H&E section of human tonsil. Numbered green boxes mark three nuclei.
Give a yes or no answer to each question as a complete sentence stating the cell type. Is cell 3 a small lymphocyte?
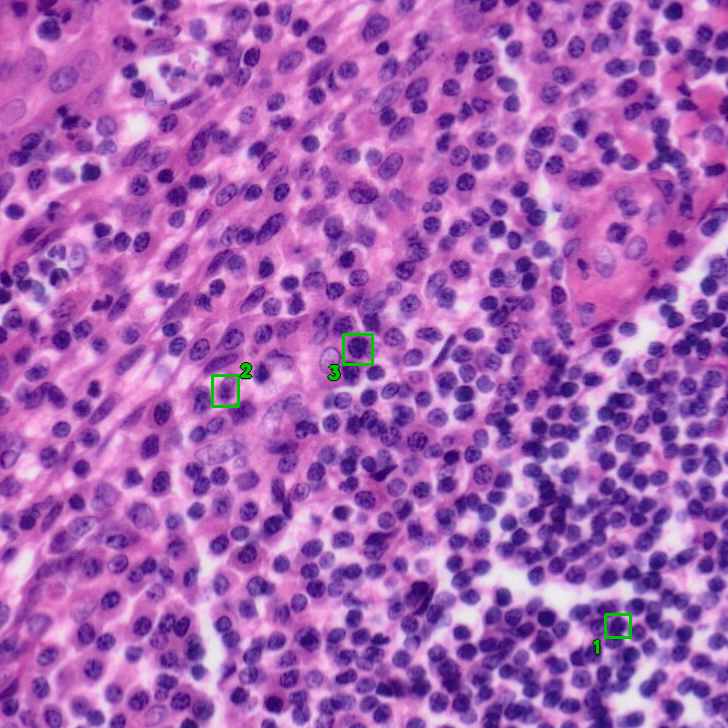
No, it is not a small lymphocyte that bears number 3 but a plasma cell.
